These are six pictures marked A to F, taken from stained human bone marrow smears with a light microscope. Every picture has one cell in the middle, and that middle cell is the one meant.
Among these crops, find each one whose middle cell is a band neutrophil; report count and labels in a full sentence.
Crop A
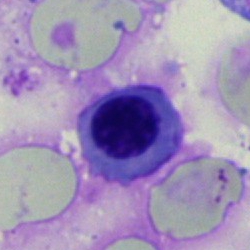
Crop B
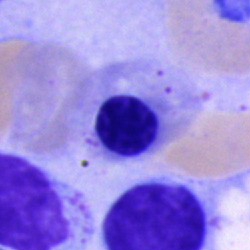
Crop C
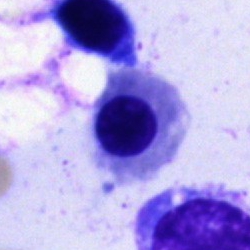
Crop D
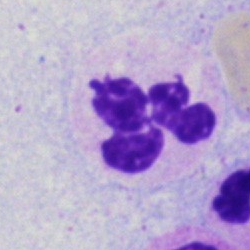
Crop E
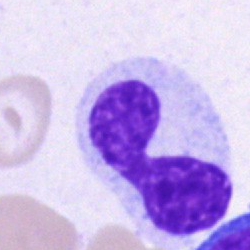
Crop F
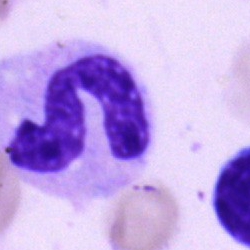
The single crop showing a band neutrophil is crop E.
